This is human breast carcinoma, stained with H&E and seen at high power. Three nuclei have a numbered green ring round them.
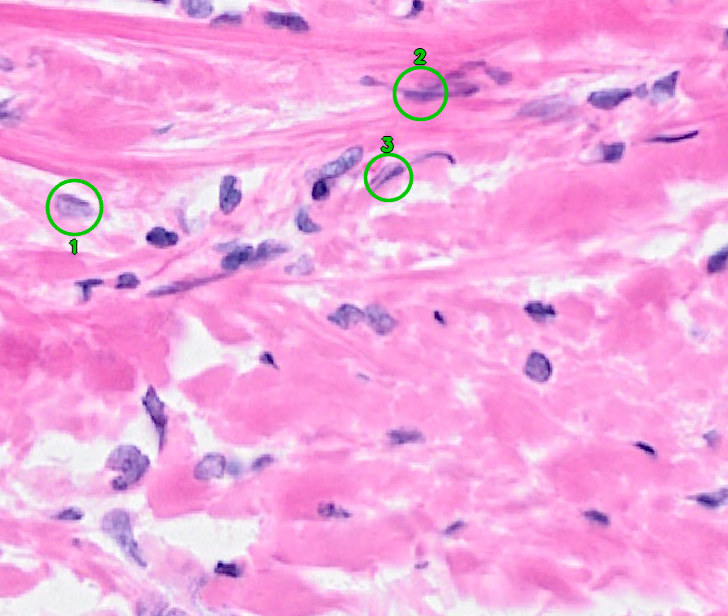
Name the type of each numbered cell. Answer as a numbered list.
1. fibroblast
2. fibroblast
3. endothelial cell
